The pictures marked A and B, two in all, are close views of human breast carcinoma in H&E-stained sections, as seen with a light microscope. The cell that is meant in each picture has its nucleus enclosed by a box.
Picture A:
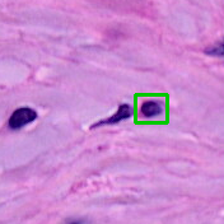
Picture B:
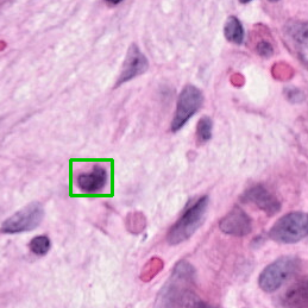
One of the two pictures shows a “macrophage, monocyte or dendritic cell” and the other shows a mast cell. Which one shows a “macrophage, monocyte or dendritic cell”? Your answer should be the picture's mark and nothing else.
B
